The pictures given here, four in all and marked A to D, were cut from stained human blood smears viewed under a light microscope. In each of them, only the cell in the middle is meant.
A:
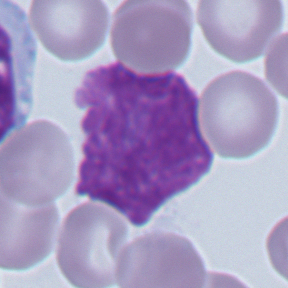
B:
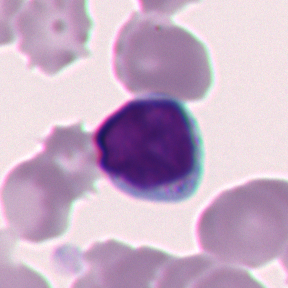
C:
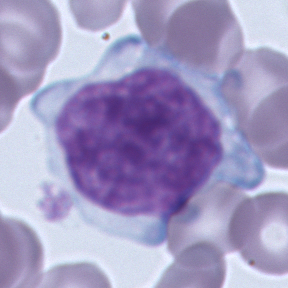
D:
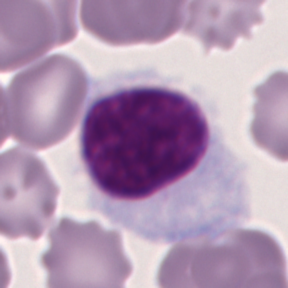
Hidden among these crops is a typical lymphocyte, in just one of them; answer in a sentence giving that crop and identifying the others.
Depicted in crop B is a typical lymphocyte, while crop A is a smudge cell, crop C is a myeloblast and crop D is a hairy cell.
